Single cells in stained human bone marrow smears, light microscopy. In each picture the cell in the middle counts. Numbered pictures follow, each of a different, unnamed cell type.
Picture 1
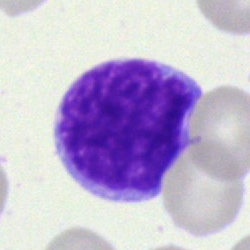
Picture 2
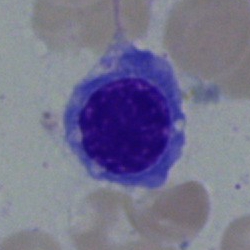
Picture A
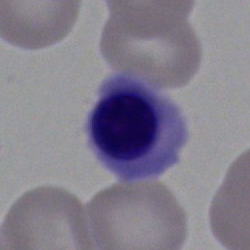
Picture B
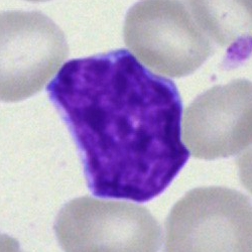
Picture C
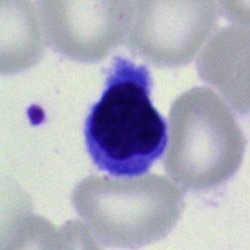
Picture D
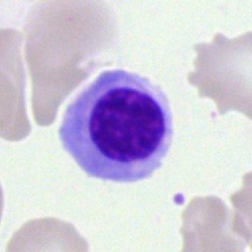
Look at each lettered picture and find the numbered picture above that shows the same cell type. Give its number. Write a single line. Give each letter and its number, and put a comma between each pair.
A 2, B 1, C 2, D 2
